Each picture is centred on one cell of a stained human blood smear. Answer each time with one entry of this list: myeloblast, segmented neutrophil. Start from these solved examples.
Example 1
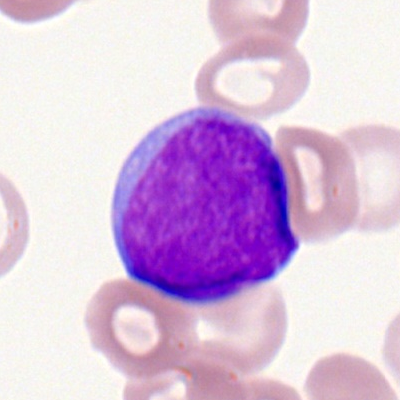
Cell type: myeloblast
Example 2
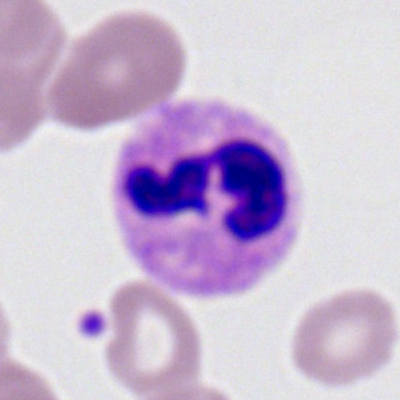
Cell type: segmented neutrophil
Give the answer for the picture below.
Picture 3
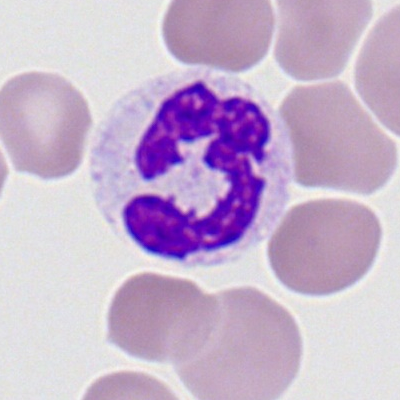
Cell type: segmented neutrophil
